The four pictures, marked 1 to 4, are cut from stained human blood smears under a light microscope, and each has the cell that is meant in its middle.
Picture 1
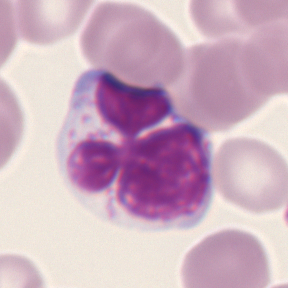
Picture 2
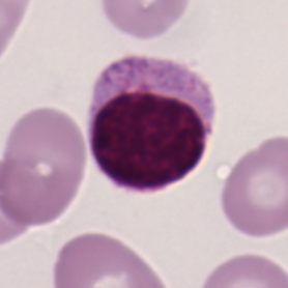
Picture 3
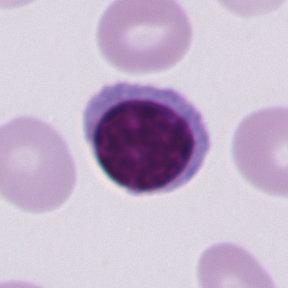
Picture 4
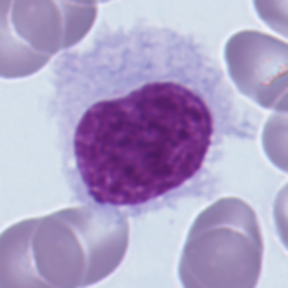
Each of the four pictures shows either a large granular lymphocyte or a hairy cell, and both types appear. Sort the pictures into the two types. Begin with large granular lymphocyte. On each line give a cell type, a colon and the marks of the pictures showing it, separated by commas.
large granular lymphocyte: 1, 2, 3
hairy cell: 4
